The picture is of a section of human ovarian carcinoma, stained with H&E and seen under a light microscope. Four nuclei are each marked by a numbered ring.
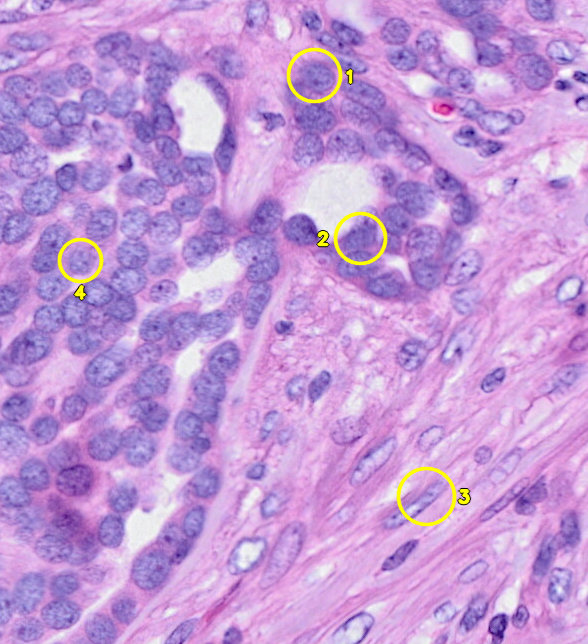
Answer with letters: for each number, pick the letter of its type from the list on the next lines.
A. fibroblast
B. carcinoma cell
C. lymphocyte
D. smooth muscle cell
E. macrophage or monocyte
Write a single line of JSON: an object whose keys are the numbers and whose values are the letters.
{"1": "B", "2": "B", "3": "A", "4": "B"}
